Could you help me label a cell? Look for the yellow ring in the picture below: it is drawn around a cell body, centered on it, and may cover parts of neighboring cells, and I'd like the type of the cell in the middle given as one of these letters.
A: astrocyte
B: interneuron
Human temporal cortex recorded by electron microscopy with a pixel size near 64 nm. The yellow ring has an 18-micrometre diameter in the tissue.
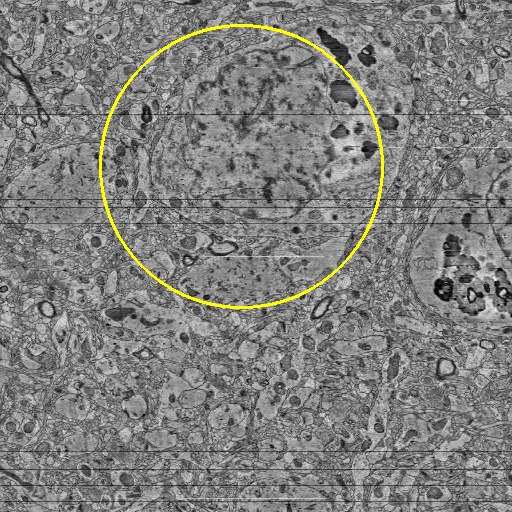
B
